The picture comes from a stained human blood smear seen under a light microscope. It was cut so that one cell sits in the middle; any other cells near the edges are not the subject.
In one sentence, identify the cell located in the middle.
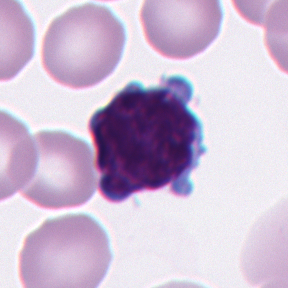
In the crop, the cell of interest at the centre is a typical lymphocyte.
